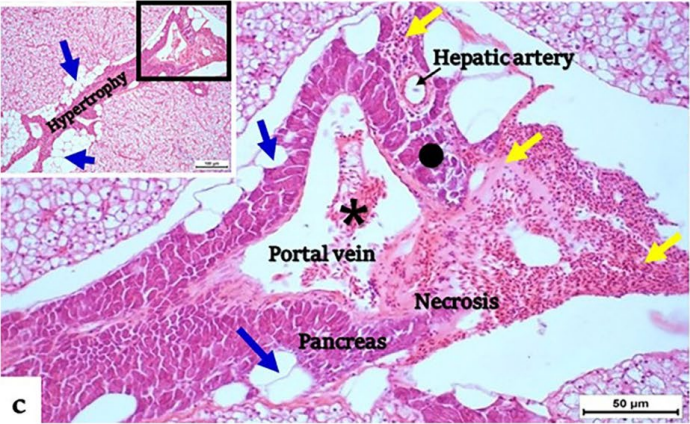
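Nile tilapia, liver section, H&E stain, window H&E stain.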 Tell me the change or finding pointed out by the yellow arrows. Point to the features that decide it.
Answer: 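Mononuclear aggregations. Dense clusters of small dark round nuclei fill the tissue beside the vessel. Scattered red blood cells lie among them.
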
